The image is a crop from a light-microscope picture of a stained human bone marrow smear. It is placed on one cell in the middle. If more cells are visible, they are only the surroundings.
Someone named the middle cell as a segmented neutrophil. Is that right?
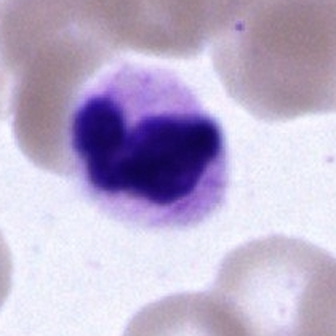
yes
